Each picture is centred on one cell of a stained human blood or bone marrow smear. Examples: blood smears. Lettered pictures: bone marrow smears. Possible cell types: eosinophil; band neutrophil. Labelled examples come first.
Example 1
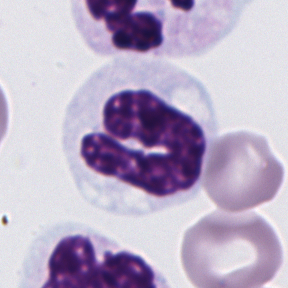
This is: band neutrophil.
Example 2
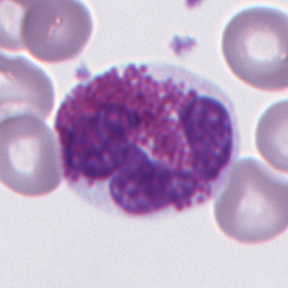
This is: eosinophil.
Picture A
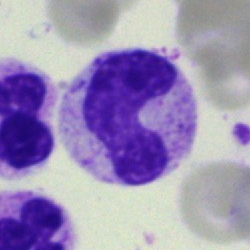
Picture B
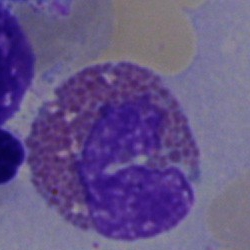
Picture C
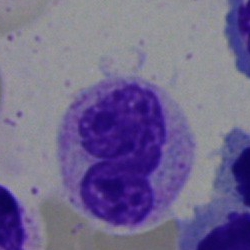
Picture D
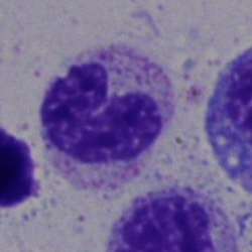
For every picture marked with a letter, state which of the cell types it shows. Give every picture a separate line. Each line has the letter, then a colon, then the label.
A: band neutrophil.
B: eosinophil.
C: band neutrophil.
D: band neutrophil.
